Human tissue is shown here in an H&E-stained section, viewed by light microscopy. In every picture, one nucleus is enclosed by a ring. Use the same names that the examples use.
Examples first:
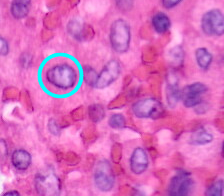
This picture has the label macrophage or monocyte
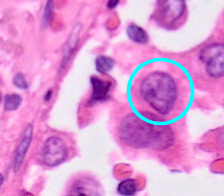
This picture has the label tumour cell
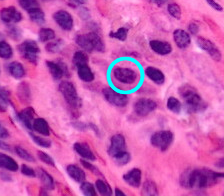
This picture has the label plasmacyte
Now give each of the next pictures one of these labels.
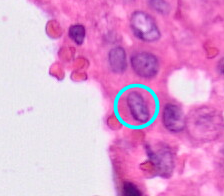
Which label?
macrophage or monocyte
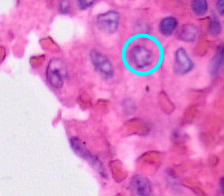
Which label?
macrophage or monocyte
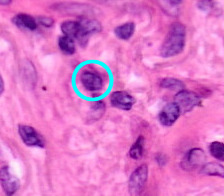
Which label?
plasmacyte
